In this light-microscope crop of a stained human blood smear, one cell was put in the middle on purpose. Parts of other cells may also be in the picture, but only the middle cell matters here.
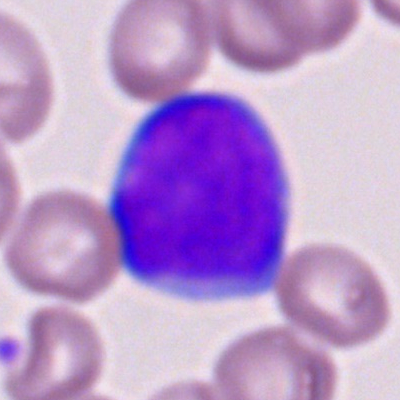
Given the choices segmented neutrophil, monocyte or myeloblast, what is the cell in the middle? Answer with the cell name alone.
myeloblast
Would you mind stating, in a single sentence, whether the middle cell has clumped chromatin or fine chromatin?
Check the chromatin: it is fine and not coarsely clumped.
